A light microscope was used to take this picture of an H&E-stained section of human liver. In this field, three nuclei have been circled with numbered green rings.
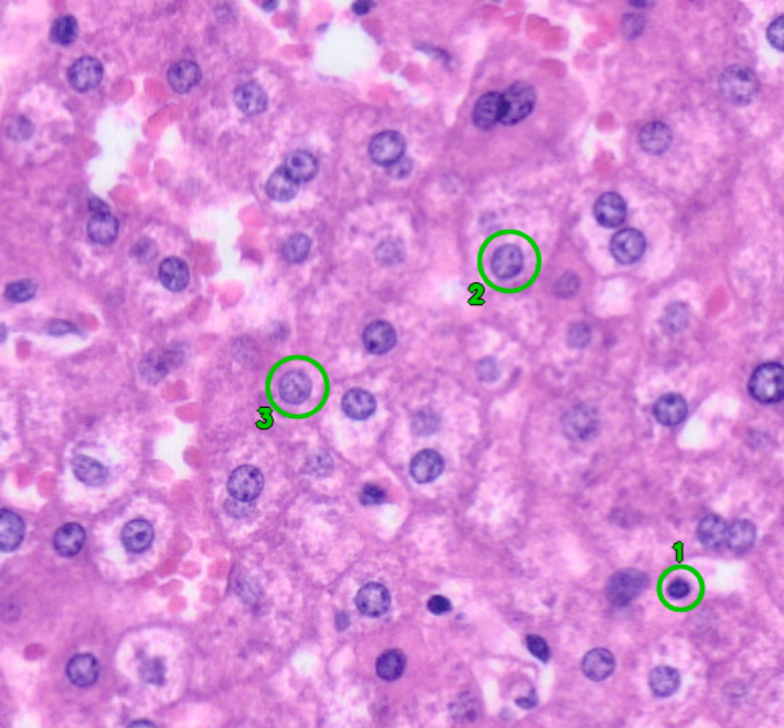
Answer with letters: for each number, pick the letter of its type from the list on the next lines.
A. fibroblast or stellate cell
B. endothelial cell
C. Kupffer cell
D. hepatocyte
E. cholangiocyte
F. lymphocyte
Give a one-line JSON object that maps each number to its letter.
{"1": "F", "2": "D", "3": "D"}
